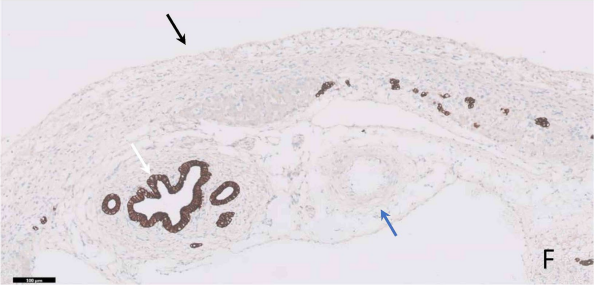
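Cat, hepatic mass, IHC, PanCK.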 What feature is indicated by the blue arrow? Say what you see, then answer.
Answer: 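The arrow points to a round vessel with a small lumen and concentric wall. Its wall is unstained.
Small artery.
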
